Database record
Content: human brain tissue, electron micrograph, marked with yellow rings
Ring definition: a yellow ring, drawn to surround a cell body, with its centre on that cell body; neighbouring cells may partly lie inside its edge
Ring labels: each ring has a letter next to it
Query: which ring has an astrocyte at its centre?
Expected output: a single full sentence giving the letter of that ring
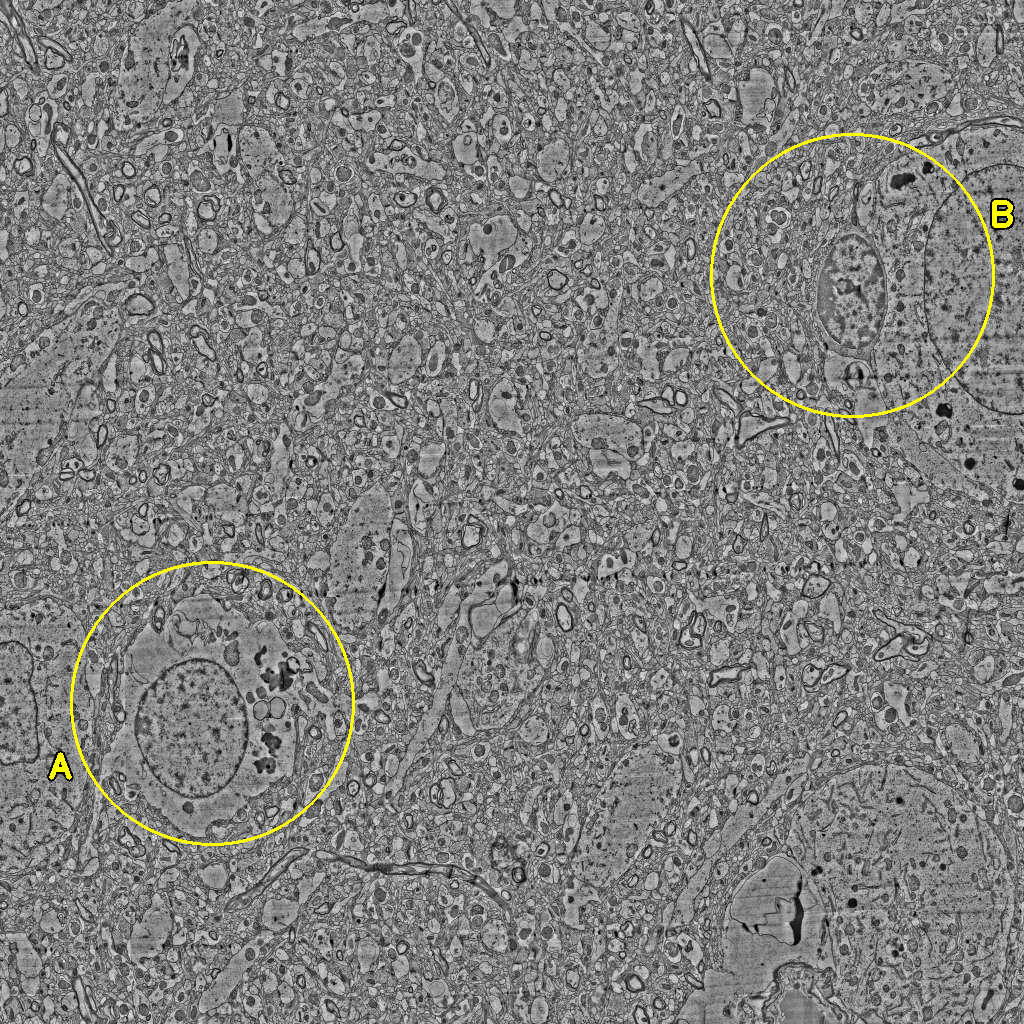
In the picture, the cell being queried lies at the centre of ring A.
